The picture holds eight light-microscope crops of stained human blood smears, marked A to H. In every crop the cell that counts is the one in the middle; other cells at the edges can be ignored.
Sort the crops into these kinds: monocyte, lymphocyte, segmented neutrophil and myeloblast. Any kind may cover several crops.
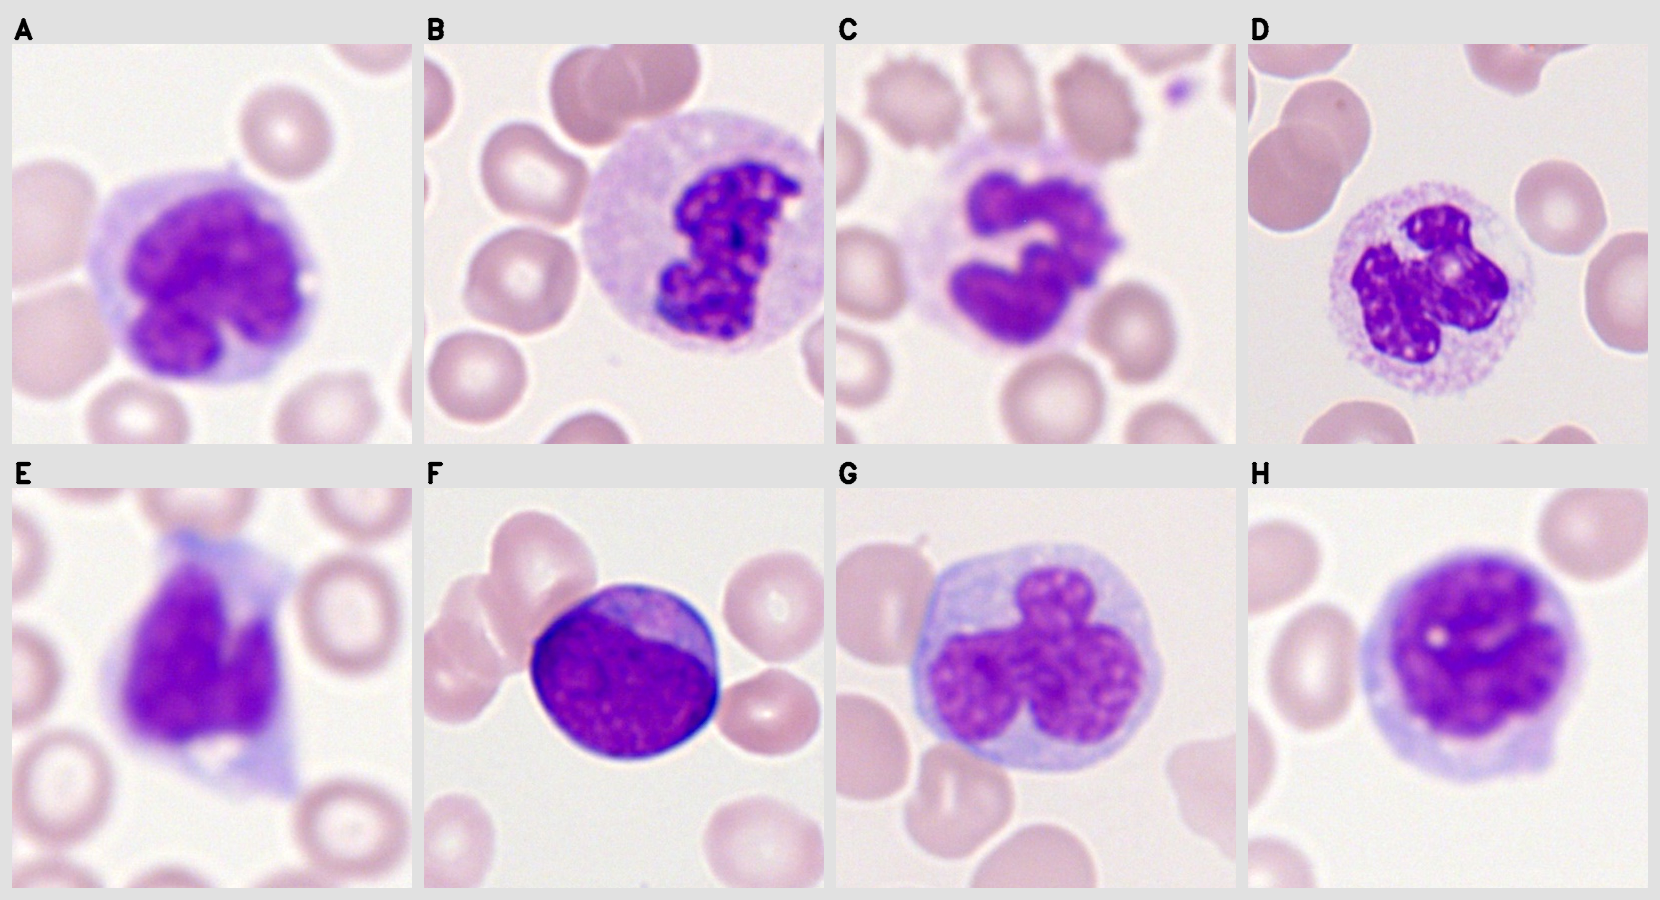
A: monocyte
B: segmented neutrophil
C: segmented neutrophil
D: segmented neutrophil
E: monocyte
F: myeloblast
G: monocyte
H: monocyte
